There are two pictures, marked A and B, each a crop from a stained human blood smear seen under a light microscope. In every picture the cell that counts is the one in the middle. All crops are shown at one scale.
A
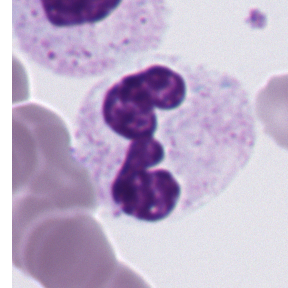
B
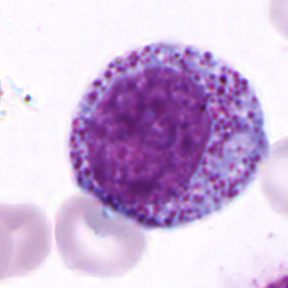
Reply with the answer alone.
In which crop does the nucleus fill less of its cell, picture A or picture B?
A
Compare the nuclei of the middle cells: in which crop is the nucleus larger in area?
B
